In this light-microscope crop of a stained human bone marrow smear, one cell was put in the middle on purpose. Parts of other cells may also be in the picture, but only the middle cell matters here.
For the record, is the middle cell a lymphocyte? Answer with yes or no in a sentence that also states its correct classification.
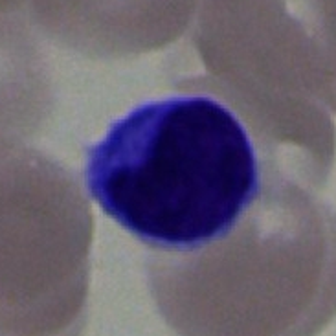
Yes, the cell positioned at the centre of the crop is a lymphocyte.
